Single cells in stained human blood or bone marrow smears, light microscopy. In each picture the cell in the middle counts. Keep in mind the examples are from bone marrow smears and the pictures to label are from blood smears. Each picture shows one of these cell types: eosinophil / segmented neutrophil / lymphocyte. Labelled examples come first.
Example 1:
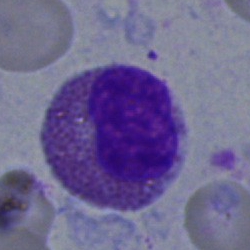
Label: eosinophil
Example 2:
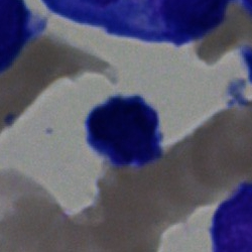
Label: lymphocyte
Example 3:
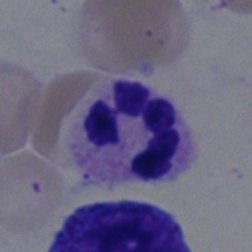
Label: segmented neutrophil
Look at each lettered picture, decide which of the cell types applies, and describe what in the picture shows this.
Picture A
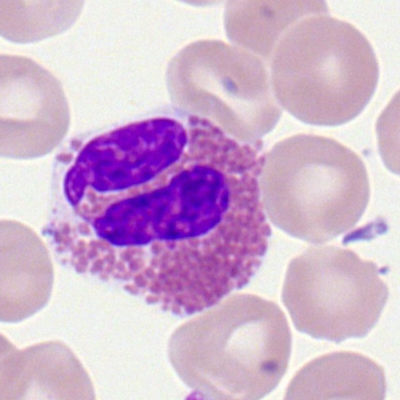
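eosinophil: The granules are coarse and fairly uniform in size.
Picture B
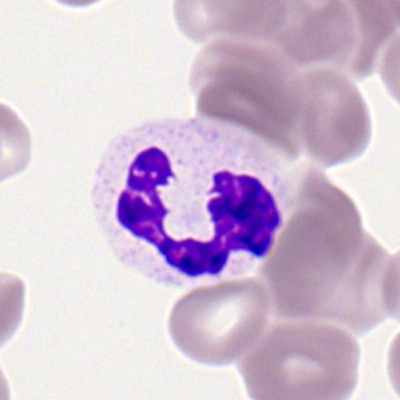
segmented neutrophil: The nucleus is bent into a U shape that opens toward the top of the picture.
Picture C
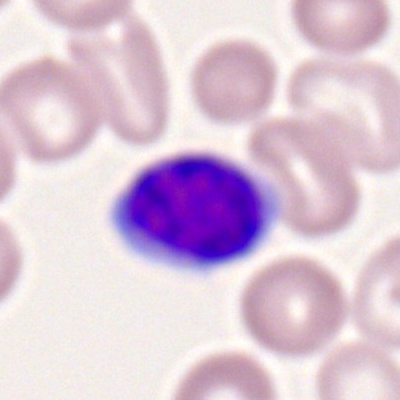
lymphocyte: The cytoplasm forms only a thin rim around the nucleus.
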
